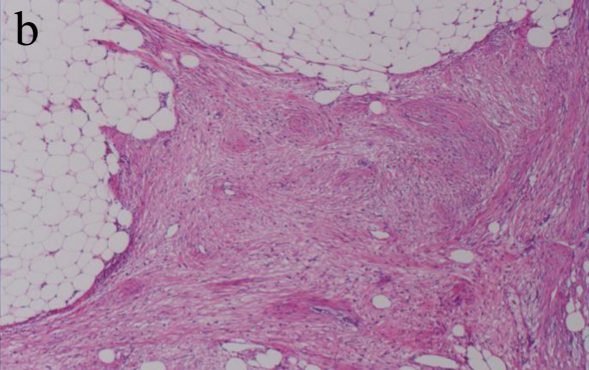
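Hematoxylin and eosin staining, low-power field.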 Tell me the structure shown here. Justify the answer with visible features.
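Collagenous stroma. A band of pink fibrous tissue with sparse elongated nuclei. The fibrous band extends between lobules of clear, empty-looking fat cells.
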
